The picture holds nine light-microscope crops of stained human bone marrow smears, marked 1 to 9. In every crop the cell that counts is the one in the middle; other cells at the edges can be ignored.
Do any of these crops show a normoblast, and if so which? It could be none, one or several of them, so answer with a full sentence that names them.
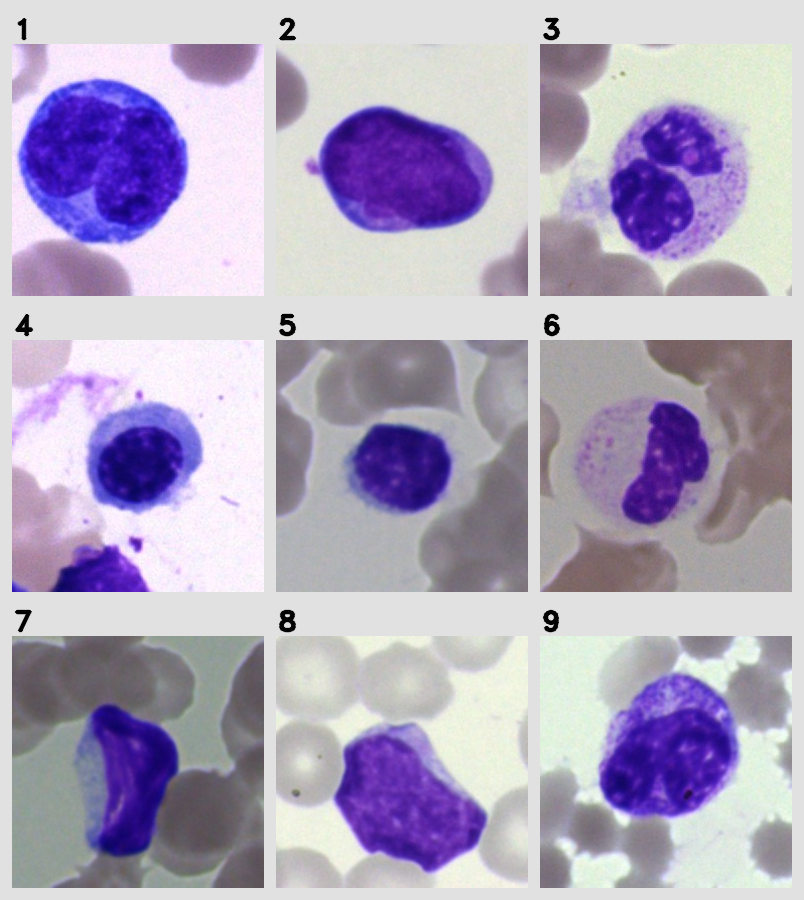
Crop 4 is the one and only crop with a normoblast.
